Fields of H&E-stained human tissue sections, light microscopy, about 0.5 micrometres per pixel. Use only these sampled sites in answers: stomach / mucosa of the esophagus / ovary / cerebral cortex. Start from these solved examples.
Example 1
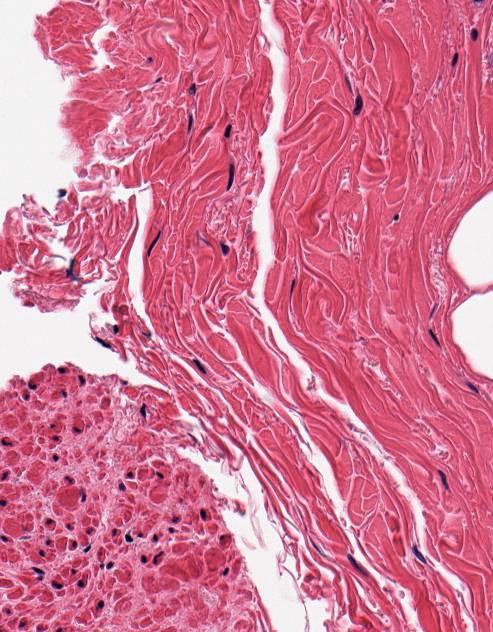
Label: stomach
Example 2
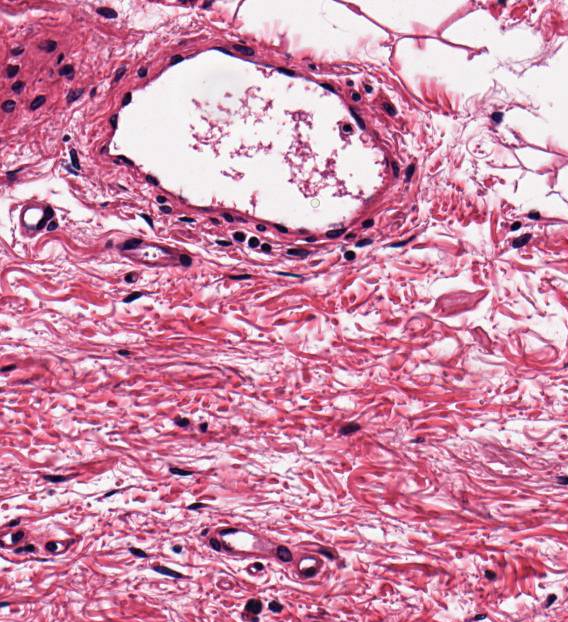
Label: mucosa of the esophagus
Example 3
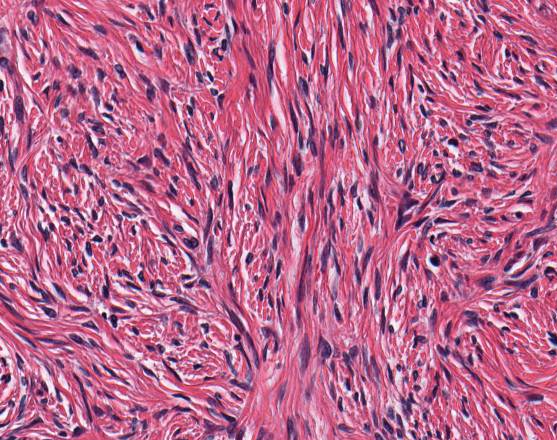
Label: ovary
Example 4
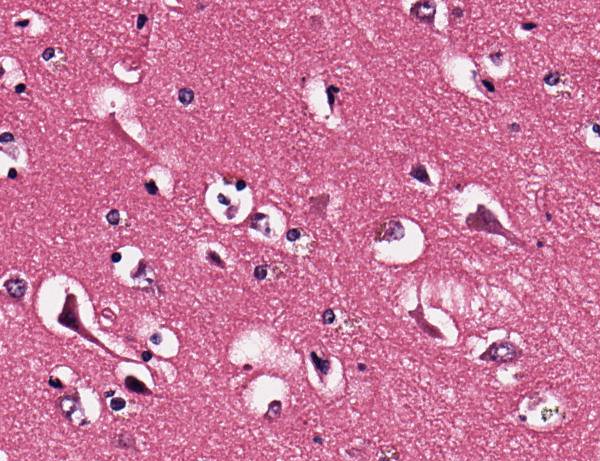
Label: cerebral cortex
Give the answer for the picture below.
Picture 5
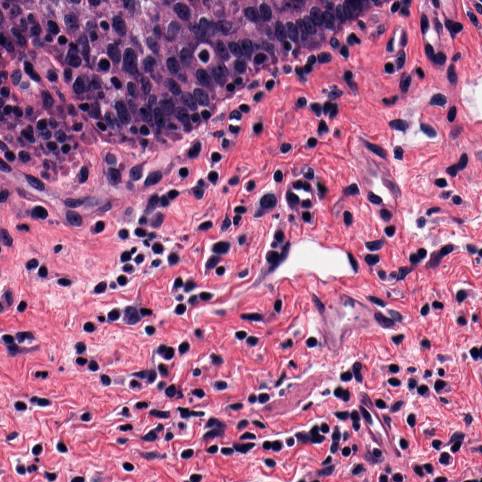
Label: mucosa of the esophagus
